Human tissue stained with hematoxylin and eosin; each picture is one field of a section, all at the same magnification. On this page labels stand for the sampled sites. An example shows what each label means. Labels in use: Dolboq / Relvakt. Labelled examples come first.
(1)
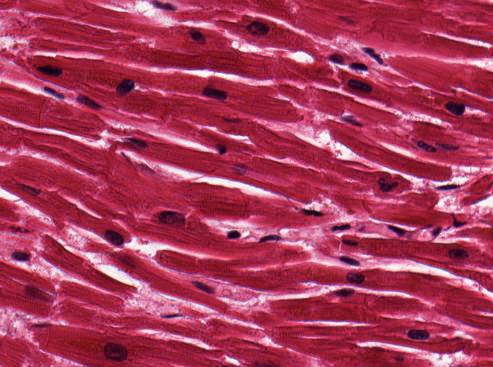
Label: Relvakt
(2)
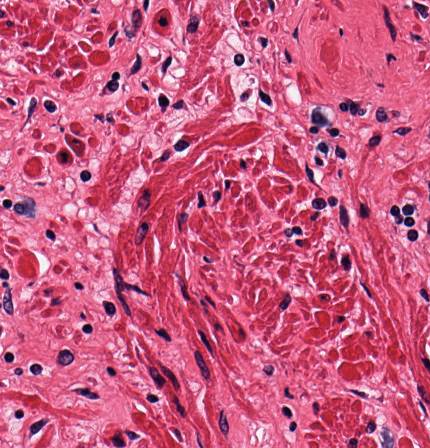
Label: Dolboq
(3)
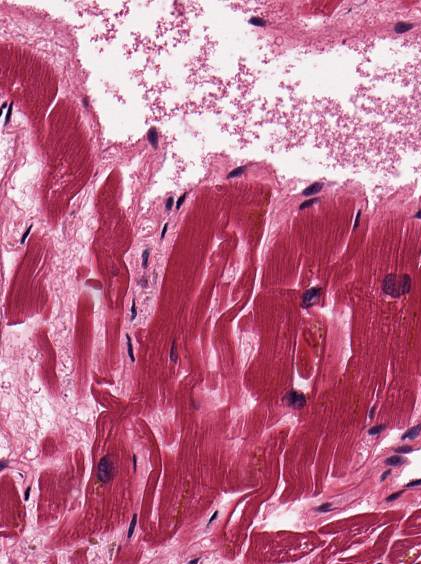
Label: Relvakt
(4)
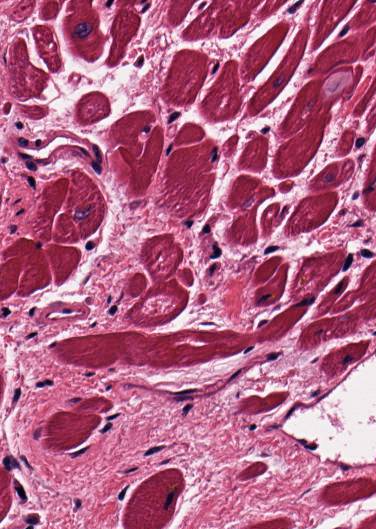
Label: Relvakt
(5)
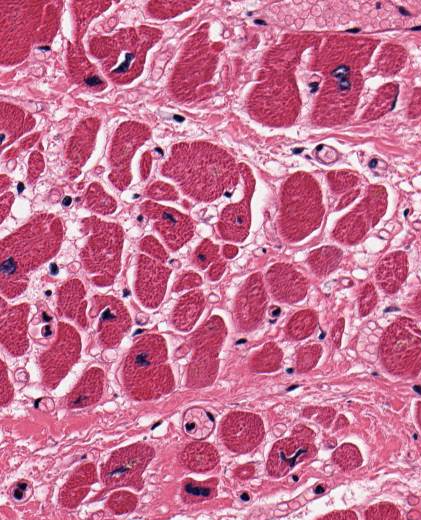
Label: Relvakt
